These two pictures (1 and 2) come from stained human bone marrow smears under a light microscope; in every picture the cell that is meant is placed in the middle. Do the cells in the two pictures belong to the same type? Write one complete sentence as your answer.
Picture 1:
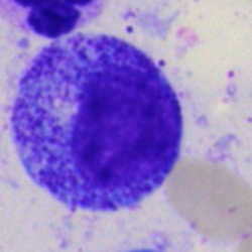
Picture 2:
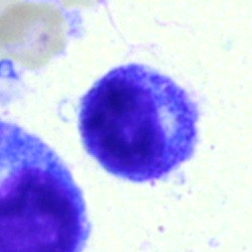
Yes, both are myelocytes.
